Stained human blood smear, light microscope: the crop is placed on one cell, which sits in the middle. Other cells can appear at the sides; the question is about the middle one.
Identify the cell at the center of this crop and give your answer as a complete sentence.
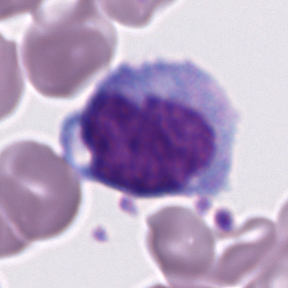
The cell occupying the middle of the crop is a monocyte.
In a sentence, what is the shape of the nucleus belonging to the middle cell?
The nucleus amounts to one compact mass with a round, oval or kidney-shaped outline.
